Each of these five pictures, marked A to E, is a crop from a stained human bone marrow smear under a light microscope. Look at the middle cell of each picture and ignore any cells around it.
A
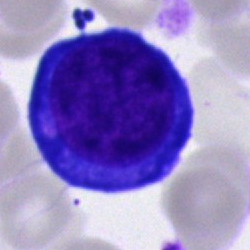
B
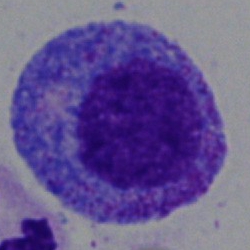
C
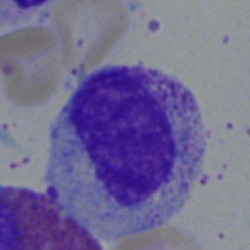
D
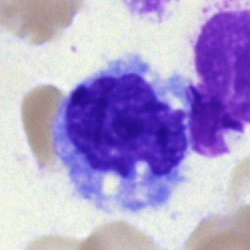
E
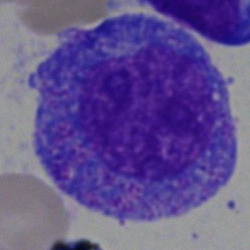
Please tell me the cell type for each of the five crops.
A: proerythroblast
B: promyelocyte
C: metamyelocyte
D: monocyte
E: promyelocyte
